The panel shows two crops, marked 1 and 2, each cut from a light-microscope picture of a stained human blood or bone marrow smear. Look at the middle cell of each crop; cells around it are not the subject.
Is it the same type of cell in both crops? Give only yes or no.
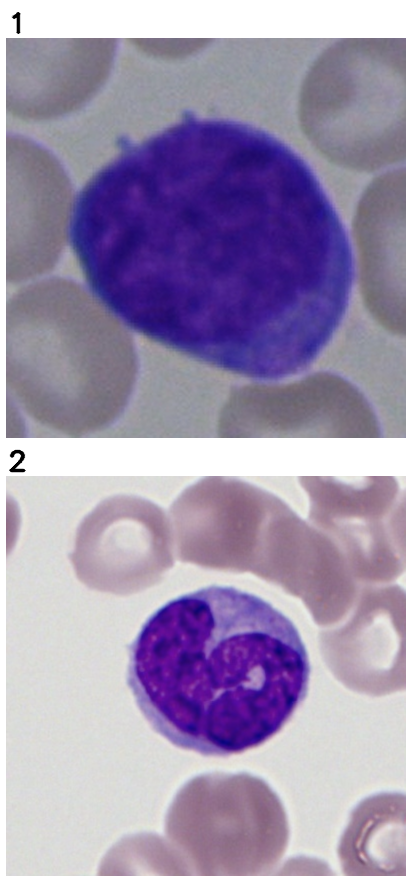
no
